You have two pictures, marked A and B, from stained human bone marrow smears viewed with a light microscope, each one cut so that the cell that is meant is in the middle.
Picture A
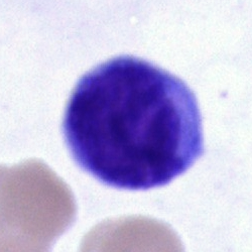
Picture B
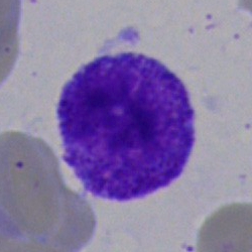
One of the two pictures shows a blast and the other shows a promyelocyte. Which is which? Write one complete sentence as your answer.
The cell in picture A is a blast, and the one in picture B is a promyelocyte.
